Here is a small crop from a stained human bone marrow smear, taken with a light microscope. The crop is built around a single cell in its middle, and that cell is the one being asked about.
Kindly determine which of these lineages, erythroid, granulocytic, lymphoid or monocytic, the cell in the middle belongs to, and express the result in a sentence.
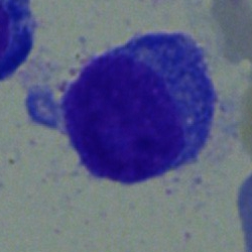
The cell at the crop's center is part of the lymphoid lineage.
